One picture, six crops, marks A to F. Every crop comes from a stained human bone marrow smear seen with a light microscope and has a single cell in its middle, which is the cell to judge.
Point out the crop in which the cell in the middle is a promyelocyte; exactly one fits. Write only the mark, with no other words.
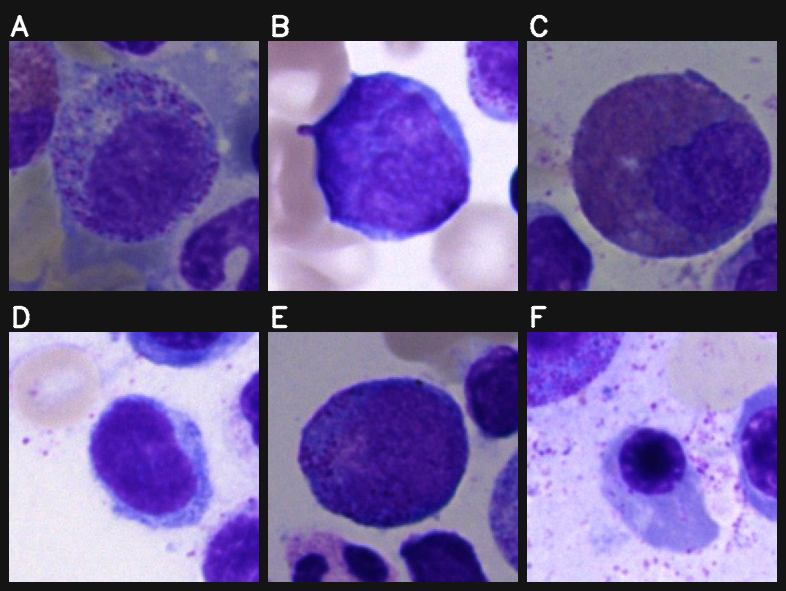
E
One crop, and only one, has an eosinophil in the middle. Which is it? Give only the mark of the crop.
C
